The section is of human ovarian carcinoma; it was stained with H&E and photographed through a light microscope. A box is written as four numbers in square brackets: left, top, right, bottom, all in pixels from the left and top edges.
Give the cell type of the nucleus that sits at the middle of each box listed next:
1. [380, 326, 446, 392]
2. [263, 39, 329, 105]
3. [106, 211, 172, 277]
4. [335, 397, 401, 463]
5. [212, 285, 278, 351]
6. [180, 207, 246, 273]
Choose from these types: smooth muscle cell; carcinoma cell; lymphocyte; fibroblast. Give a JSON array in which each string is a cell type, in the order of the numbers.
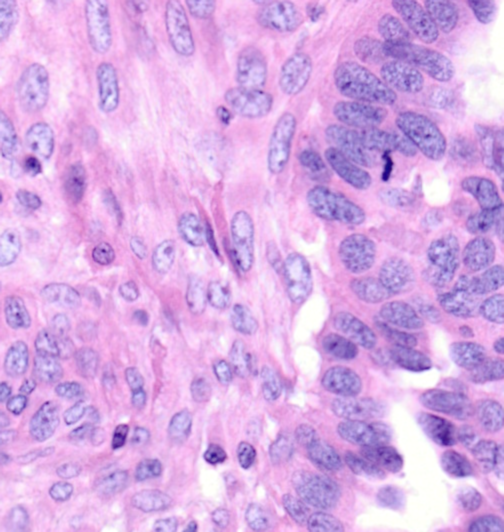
["carcinoma cell", "fibroblast", "fibroblast", "carcinoma cell", "fibroblast", "fibroblast"]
